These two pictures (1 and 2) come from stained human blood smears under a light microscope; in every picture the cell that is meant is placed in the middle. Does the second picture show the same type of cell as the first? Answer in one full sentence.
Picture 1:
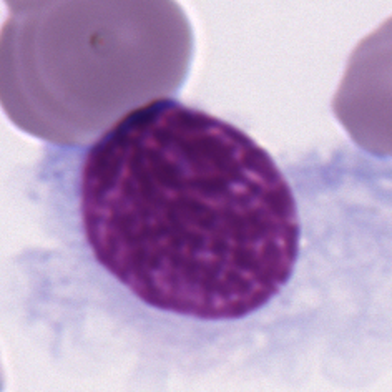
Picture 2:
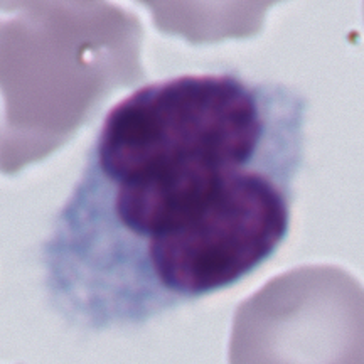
Yes, the two pictures both show hairy cells.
